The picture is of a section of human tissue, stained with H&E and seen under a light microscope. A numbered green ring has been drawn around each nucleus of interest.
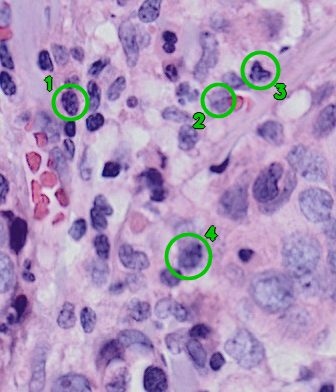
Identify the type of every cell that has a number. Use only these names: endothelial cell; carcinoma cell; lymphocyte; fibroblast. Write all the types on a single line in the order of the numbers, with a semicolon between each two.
lymphocyte; endothelial cell; lymphocyte; carcinoma cell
